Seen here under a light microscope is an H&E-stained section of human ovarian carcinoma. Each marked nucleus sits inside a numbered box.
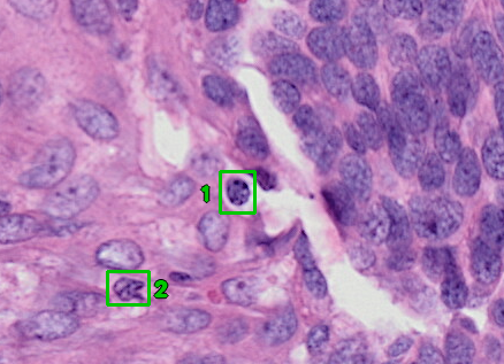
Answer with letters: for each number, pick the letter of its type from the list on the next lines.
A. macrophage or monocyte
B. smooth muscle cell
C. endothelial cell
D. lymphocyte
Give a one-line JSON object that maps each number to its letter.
{"1": "D", "2": "A"}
